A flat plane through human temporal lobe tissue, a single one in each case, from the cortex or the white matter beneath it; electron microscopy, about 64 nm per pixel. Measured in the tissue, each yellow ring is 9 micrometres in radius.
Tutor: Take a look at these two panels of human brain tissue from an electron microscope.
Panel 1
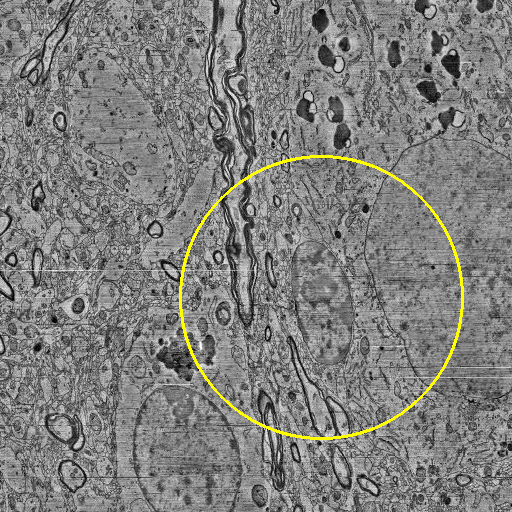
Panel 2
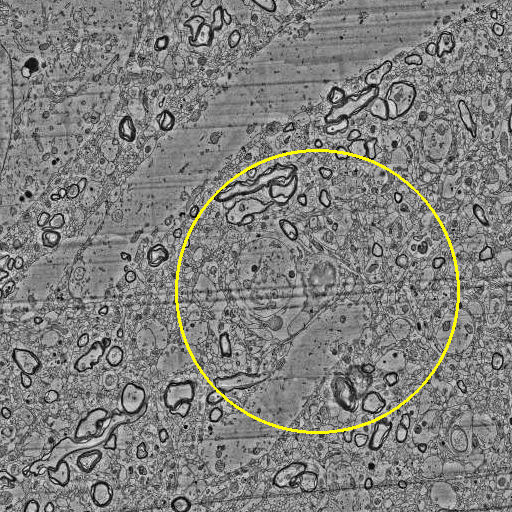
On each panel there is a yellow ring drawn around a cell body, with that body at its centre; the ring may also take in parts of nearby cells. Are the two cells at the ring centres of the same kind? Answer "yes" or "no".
no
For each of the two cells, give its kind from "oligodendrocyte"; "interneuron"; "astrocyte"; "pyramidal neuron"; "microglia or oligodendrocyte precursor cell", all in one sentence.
The first picture has a microglial cell or oligodendrocyte precursor cell in its ring, the second has an oligodendrocyte.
